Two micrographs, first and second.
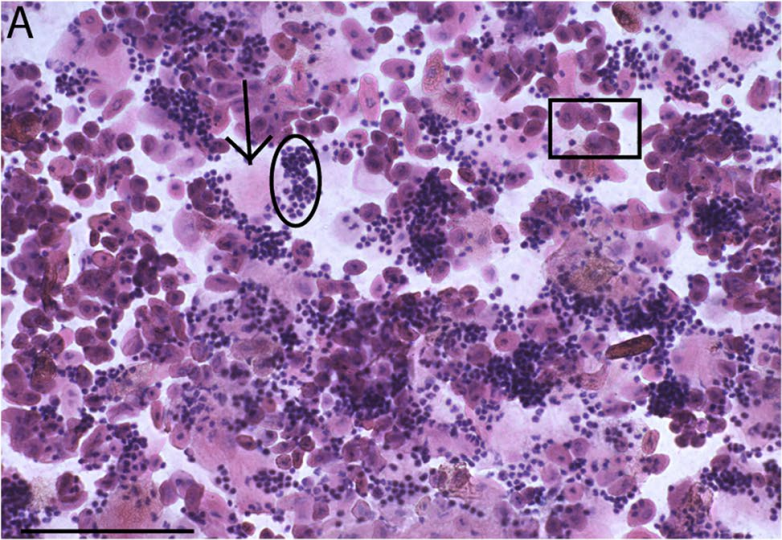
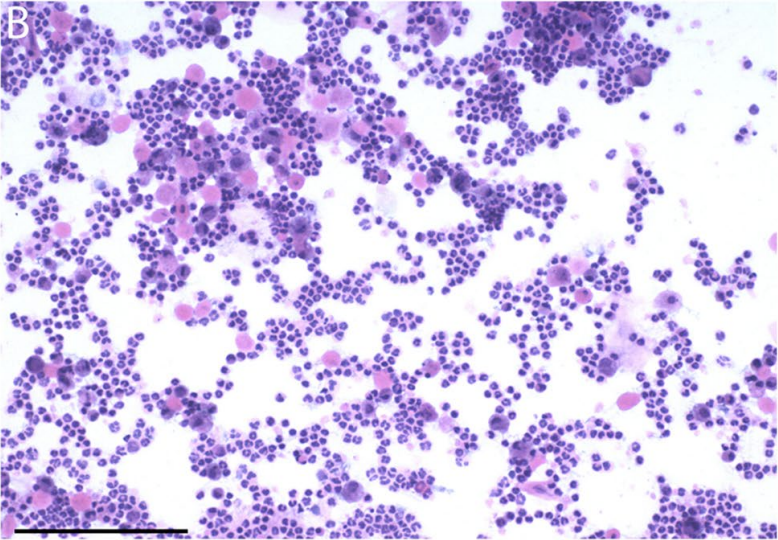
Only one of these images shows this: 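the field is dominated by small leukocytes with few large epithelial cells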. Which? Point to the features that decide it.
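The second image. Second image: mostly small cells with dark lobed nuclei, with only scattered large pink cells. First image: large flat and rounded epithelial cells crowd the field among the small cells.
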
